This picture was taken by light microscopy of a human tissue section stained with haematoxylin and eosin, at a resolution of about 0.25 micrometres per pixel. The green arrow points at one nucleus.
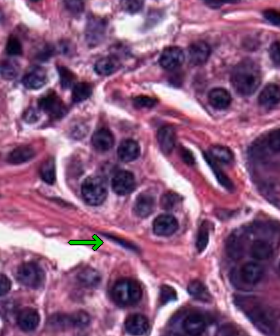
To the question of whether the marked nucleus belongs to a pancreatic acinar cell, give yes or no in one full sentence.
No, what the marked nucleus belongs to is a supporting cell, not a pancreatic acinar cell.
